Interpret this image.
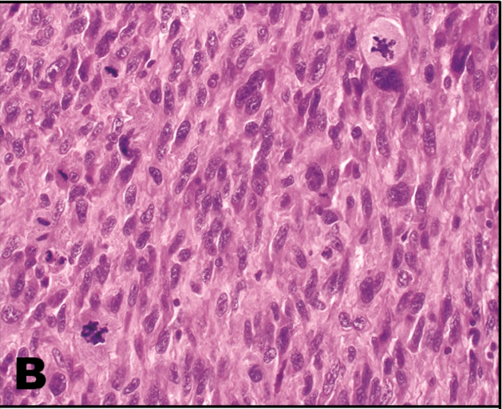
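Sheets of undifferentiated spindle-shaped and pleomorphic tumour cells with eosinophilic cytoplasm run in streaming bundles. Their nuclei vary greatly in size and shape, from slender oval to large and irregular, several with visible nucleoli. Multiple dark mitotic figures are present, some of them irregular.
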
